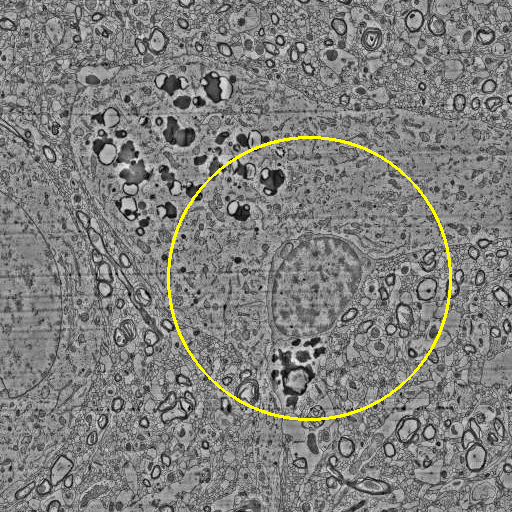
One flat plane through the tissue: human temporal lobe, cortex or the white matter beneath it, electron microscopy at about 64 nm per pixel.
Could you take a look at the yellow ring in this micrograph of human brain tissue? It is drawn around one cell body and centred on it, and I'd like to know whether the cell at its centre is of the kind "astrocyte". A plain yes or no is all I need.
no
